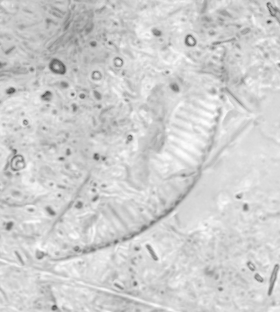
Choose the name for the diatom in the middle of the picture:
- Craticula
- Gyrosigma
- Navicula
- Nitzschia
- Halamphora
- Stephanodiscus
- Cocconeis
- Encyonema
Encyonema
